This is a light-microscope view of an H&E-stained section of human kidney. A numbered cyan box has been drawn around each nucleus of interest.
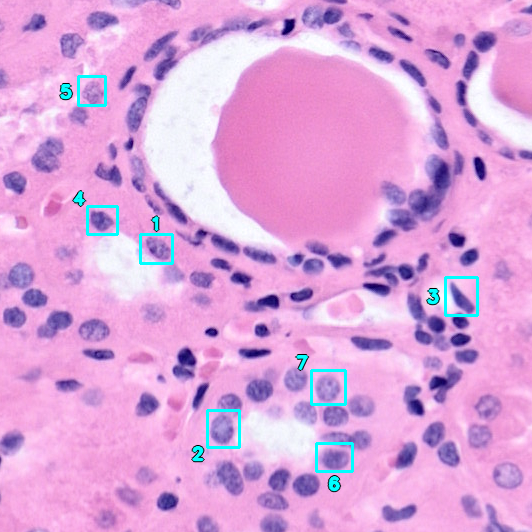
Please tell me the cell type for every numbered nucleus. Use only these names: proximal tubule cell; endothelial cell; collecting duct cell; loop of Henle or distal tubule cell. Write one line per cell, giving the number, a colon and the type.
1: loop of Henle or distal tubule cell
2: collecting duct cell
3: endothelial cell
4: loop of Henle or distal tubule cell
5: loop of Henle or distal tubule cell
6: collecting duct cell
7: collecting duct cell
